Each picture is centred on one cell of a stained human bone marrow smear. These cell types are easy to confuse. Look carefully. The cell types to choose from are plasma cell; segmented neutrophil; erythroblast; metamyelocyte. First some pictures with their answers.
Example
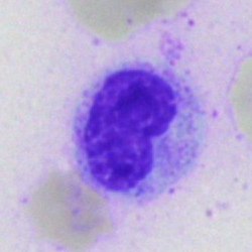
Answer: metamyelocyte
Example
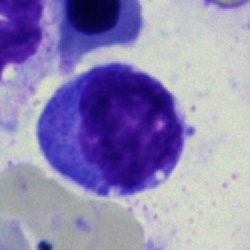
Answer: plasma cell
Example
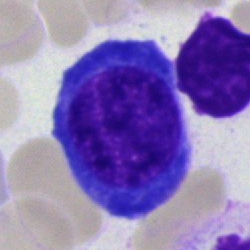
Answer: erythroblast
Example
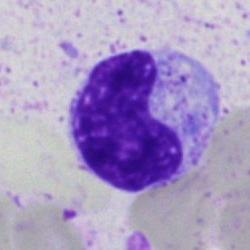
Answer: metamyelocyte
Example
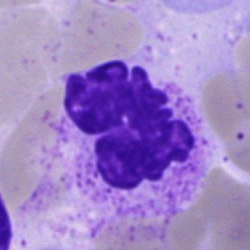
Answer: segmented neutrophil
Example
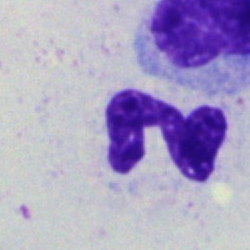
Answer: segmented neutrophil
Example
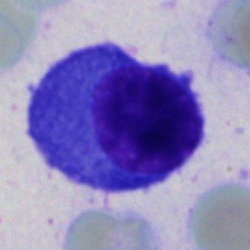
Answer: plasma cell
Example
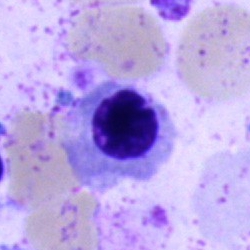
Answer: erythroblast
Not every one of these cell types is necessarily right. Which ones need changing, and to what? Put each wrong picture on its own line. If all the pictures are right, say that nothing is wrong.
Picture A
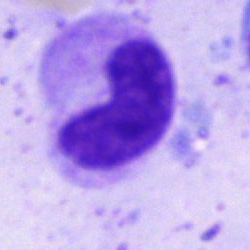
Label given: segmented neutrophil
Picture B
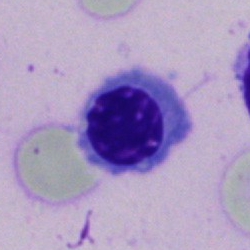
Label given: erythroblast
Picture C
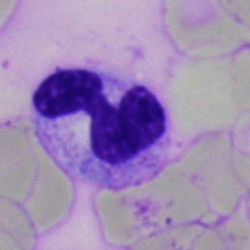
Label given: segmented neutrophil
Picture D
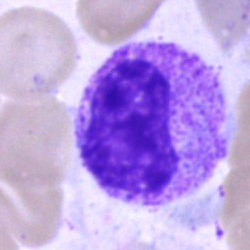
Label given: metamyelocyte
A: metamyelocyte, not segmented neutrophil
